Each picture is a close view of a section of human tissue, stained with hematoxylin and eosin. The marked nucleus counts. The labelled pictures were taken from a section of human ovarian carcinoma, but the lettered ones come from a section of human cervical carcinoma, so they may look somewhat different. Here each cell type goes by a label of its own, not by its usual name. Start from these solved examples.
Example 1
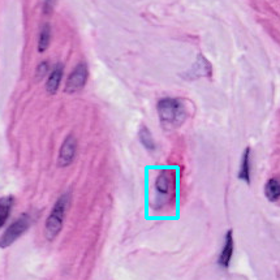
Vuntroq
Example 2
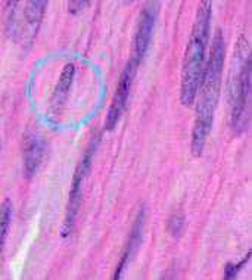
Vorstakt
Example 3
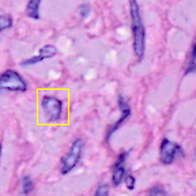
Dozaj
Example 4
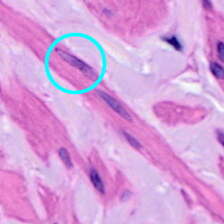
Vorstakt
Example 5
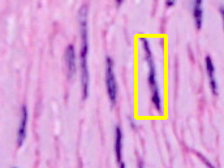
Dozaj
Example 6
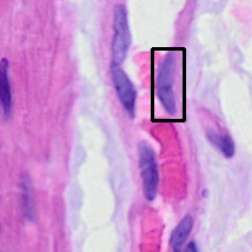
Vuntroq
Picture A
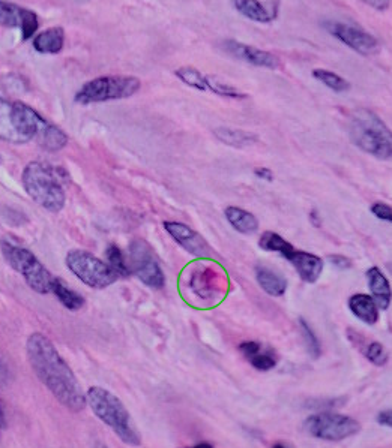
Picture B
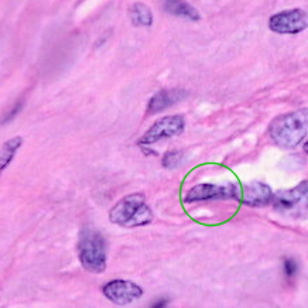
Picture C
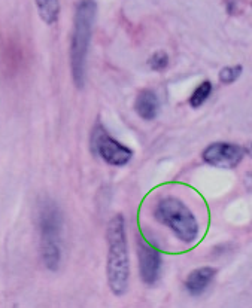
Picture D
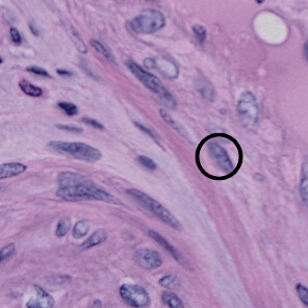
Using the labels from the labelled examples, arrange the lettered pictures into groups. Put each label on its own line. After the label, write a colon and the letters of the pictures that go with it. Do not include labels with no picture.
Vuntroq: A, B, C
Vorstakt: D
